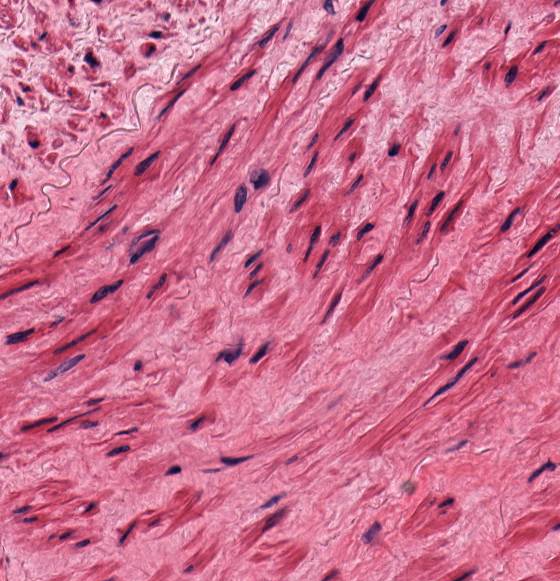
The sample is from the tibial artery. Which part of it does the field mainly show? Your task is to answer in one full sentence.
This section of human tissue shows the part called tunica media.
